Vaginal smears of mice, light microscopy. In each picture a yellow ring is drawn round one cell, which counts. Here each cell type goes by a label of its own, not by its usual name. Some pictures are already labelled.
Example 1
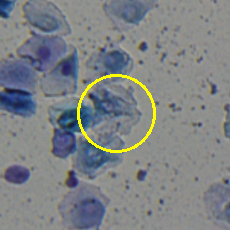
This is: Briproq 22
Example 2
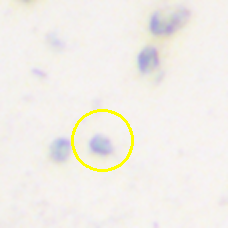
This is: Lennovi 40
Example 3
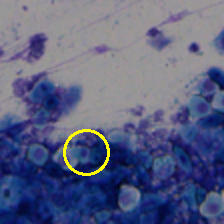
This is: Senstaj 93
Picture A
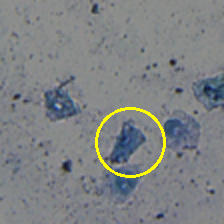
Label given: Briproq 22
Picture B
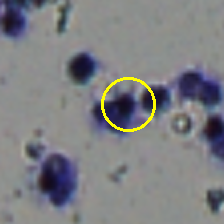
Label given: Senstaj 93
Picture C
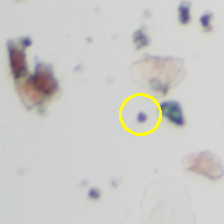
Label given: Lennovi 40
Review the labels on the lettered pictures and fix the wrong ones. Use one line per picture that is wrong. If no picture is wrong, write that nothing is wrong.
Wrong: B (Senstaj 93); correct: Lennovi 40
